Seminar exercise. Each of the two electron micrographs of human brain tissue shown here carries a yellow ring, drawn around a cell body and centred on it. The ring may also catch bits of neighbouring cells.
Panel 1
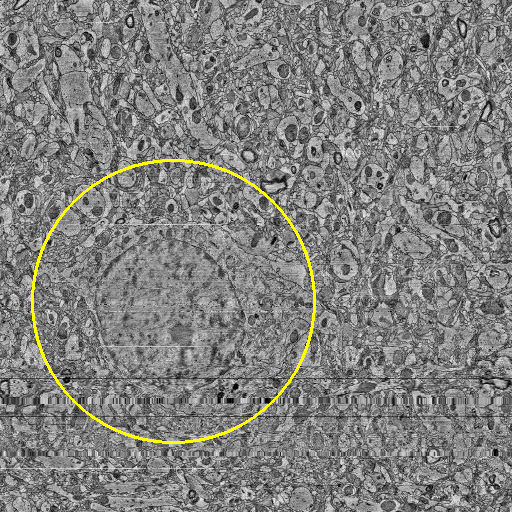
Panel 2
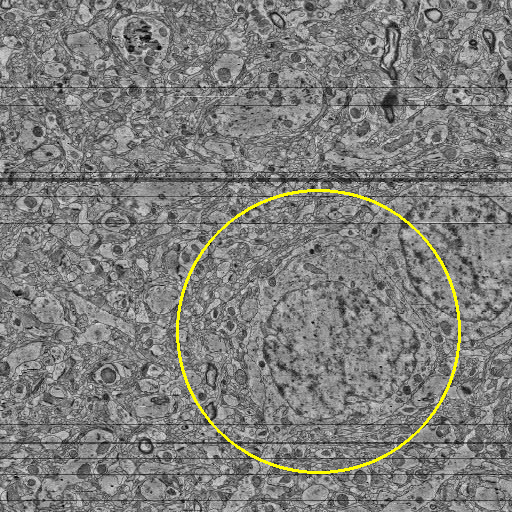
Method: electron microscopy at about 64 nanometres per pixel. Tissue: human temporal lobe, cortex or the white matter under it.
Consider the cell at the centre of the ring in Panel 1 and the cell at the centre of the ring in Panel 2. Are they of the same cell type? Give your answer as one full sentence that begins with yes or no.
Yes, both cells are of the same type.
